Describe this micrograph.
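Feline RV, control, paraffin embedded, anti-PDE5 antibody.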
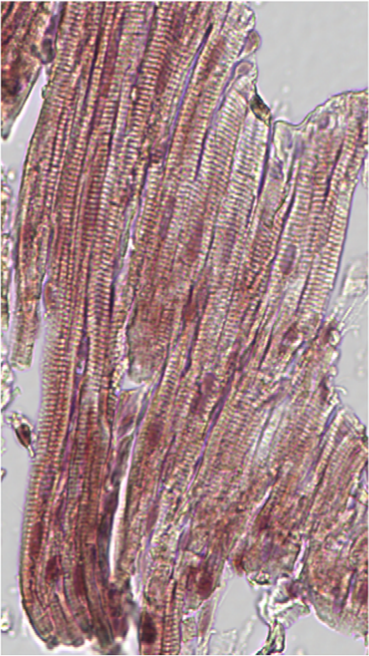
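This is heart muscle in longitudinal section, showing cardiac myocytes as long, closely packed, parallel fibres. Each fibre shows regular, fine cross-striations along its length. The cytoplasm of the fibres is stained a strong reddish-brown throughout, with some fibres darker than others. Elongated, pale bluish-purple nuclei lie within the fibres and in the narrow spaces between them. Thin clefts separate groups of fibres, and a pale background is visible at the edges of the tissue where the section ends.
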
